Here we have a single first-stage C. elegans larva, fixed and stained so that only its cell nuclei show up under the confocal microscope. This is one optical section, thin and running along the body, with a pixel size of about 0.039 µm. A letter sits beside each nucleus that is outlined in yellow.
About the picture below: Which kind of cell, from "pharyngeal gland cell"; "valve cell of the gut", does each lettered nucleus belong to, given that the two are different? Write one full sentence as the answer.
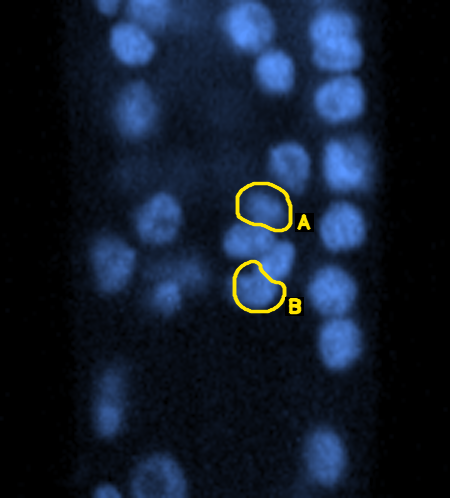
A belongs to a pharyngeal gland cell and B to a valve cell of the gut.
